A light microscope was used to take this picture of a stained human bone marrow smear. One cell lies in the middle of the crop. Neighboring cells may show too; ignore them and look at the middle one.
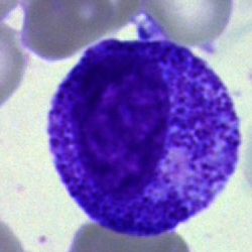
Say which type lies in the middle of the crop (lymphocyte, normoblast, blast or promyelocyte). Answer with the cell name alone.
promyelocyte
